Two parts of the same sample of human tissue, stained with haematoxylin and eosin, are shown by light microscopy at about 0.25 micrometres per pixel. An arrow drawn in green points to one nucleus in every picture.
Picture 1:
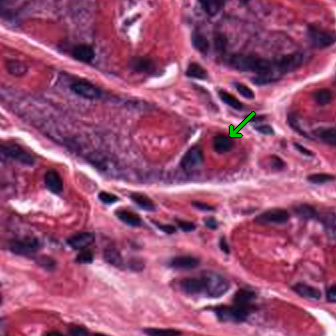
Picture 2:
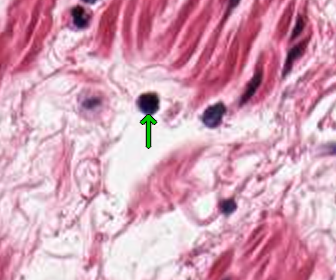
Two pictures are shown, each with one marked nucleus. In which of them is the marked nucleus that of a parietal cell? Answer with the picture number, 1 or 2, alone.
1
